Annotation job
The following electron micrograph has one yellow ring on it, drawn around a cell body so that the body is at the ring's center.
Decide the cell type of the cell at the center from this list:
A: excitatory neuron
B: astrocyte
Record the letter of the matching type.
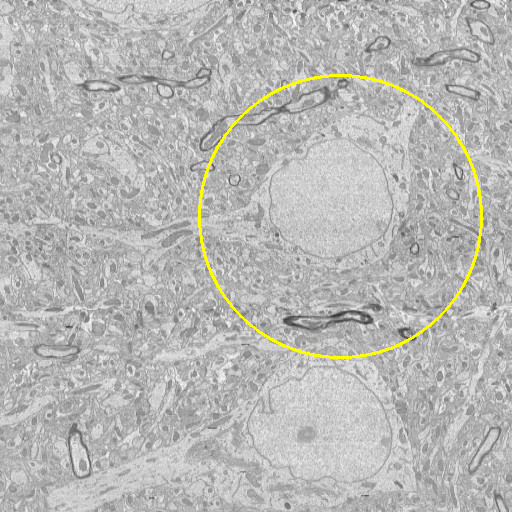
A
